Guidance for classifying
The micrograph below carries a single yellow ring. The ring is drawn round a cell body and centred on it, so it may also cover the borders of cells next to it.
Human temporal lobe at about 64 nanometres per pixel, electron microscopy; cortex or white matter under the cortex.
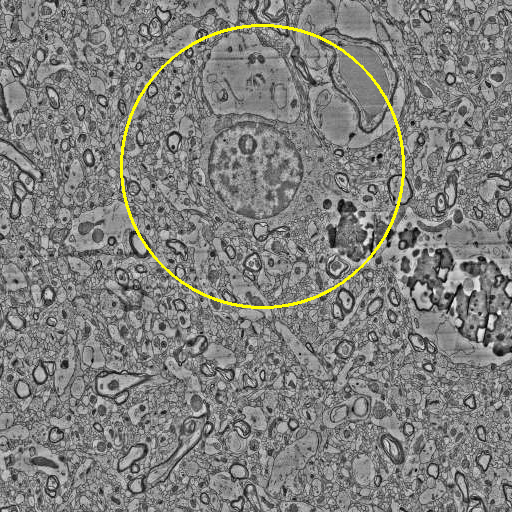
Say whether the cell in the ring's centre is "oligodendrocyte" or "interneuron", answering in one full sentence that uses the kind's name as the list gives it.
Within the yellow ring, an oligodendrocyte is the cell whose body sits at the centre.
